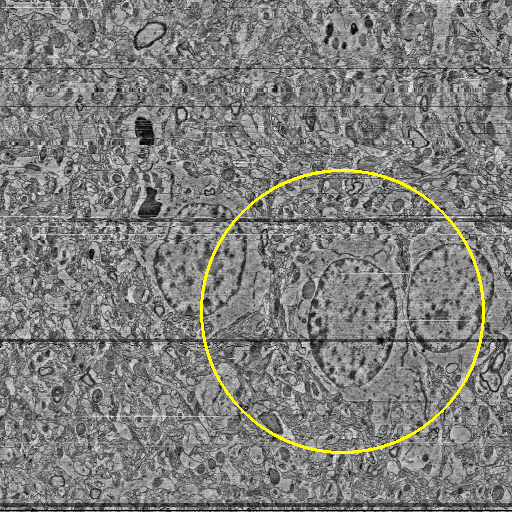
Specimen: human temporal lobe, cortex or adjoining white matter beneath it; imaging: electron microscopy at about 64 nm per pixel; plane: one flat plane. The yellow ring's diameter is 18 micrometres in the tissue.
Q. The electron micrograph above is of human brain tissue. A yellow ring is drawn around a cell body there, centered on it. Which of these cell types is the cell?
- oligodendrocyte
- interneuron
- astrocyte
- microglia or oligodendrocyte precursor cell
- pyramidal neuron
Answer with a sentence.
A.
The cell under the ring's center is an astrocyte.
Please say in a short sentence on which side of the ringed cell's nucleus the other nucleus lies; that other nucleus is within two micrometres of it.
The other nucleus can be seen to the right of it.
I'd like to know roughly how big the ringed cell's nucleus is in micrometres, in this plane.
The nucleus of the ringed cell is clearly longer than it is wide in this plane, about 9 by 6 micrometres.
